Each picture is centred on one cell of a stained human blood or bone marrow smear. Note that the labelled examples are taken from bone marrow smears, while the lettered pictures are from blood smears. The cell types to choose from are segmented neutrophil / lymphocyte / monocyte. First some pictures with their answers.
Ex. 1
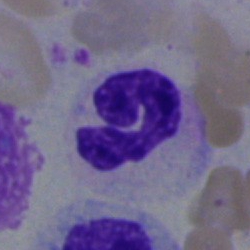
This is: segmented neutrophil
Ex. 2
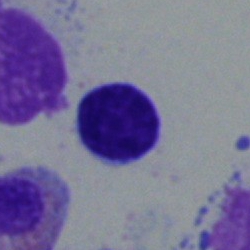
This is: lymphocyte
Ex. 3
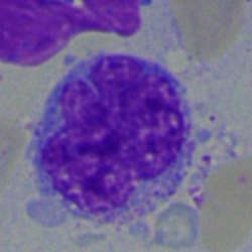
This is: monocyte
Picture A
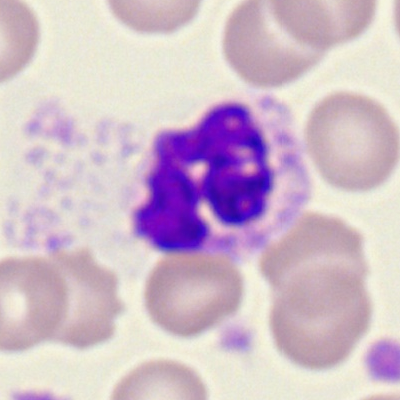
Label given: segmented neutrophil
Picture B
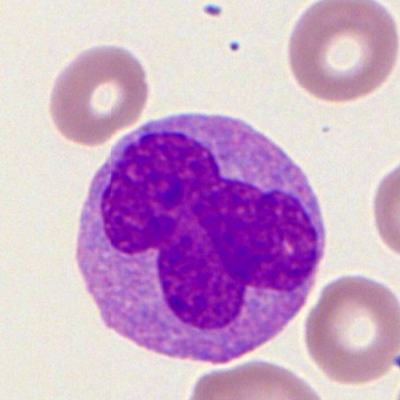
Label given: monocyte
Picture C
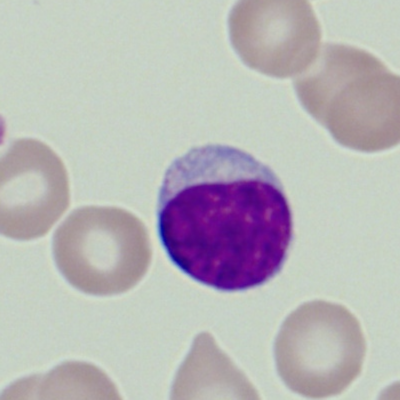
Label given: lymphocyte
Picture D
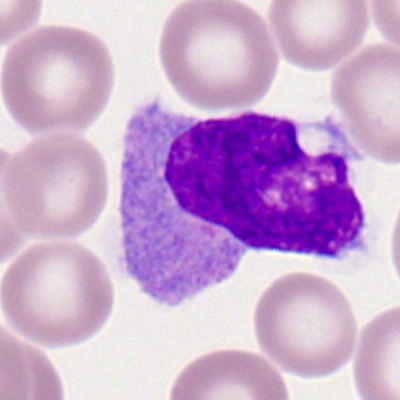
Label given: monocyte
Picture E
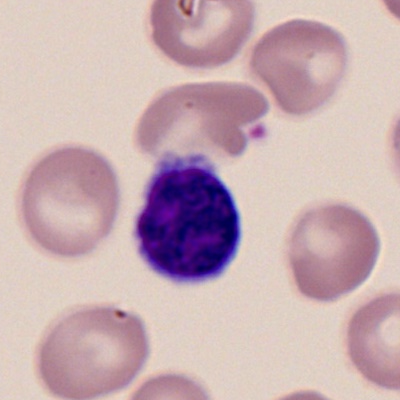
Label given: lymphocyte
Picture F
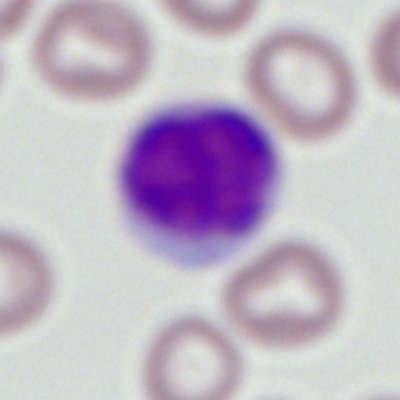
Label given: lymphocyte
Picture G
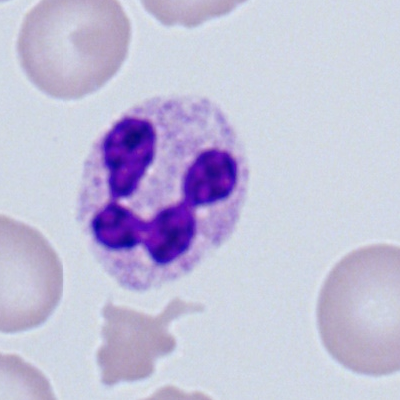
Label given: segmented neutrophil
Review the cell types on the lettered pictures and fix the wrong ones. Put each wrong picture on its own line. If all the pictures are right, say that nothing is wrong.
Every label is right.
